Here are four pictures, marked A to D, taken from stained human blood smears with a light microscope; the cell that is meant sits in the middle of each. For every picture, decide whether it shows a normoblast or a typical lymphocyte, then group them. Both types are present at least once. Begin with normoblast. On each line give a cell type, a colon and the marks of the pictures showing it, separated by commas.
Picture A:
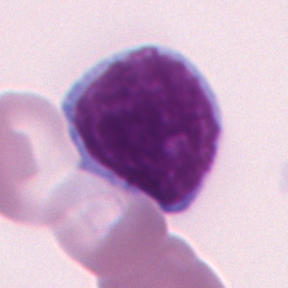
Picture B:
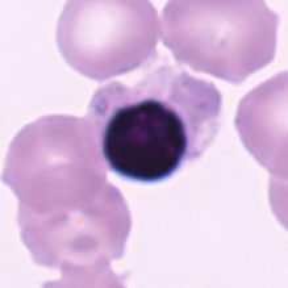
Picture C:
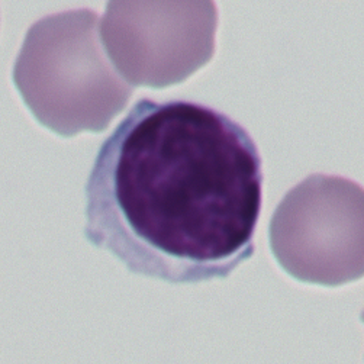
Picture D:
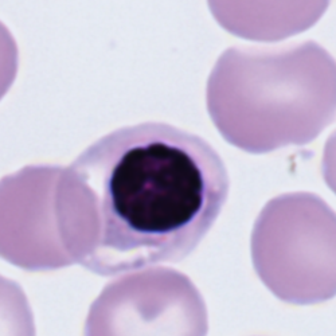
normoblast: B, D
typical lymphocyte: A, C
